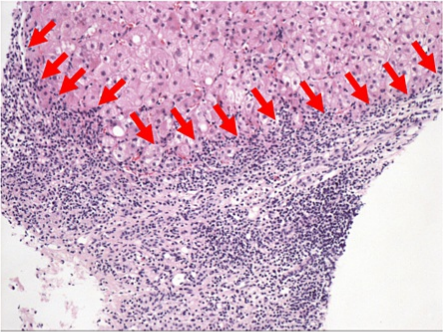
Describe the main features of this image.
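This is liver with a band of pink hepatocytes above and a dense infiltrate of small, dark-nucleated inflammatory cells below. The inflammatory cells press against and spill into the edge of the hepatocyte area, blurring the boundary between them, the picture of interface hepatitis.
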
